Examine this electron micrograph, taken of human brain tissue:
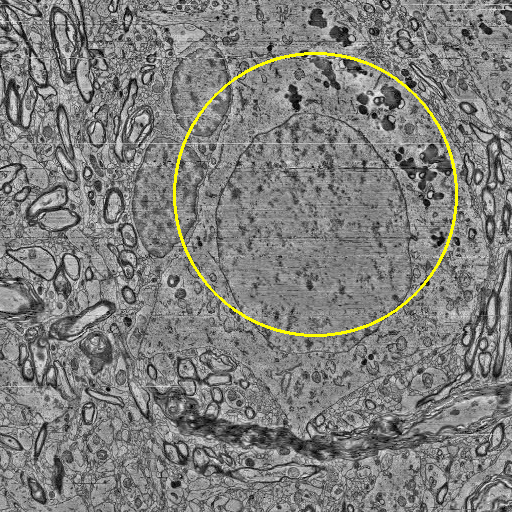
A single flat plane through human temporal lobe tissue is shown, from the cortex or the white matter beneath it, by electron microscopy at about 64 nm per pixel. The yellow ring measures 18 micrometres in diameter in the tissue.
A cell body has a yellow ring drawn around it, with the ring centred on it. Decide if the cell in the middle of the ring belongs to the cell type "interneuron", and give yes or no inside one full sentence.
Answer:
No, the cell at the centre of the yellow ring in this picture is of a different type.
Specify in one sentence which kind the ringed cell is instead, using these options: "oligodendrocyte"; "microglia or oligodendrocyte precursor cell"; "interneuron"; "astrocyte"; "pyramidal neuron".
Instead, the cell at the centre of the yellow ring is a pyramidal neuron.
